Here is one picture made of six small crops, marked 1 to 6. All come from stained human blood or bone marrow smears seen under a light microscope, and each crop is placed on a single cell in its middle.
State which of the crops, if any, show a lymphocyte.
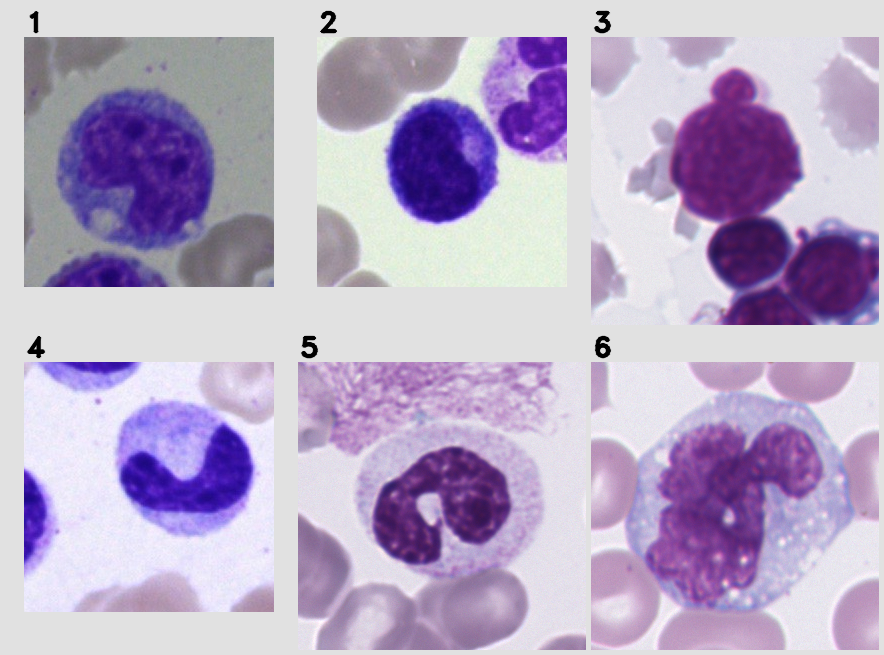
2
